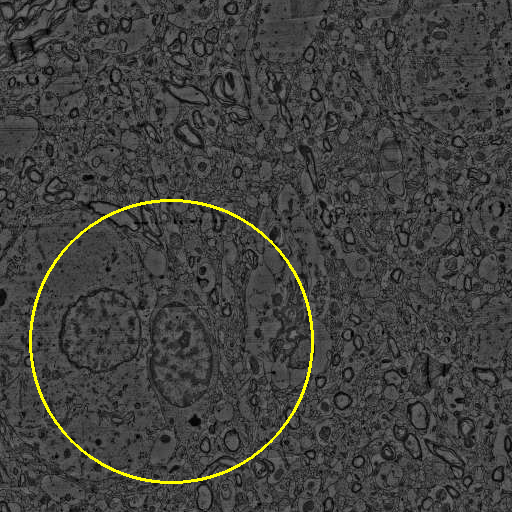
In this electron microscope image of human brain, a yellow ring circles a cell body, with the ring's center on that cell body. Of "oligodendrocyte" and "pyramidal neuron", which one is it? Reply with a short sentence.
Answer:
It is an oligodendrocyte at the center of the ring.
